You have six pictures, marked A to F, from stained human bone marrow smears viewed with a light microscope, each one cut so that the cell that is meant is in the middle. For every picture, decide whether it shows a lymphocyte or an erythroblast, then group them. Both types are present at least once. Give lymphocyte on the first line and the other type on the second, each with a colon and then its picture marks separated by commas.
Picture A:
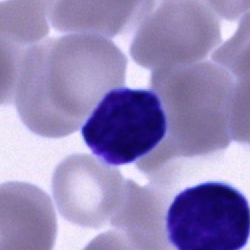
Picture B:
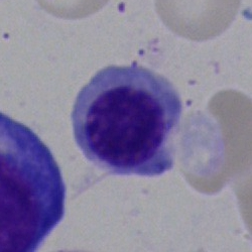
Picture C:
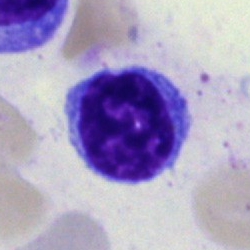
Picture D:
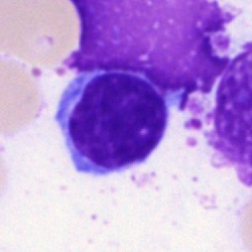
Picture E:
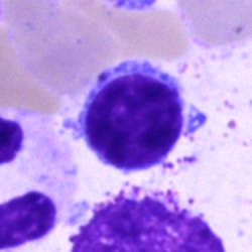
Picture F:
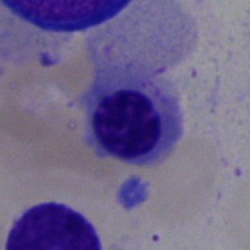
lymphocyte: A, C, D, E
erythroblast: B, F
